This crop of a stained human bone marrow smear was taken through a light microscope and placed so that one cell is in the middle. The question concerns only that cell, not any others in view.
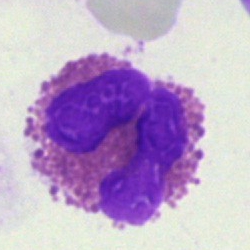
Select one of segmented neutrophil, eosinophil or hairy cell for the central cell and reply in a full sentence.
The central cell shown in this smear crop is an eosinophil.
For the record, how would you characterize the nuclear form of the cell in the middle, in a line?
Its nucleus is lobed, with at least two separate segments.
